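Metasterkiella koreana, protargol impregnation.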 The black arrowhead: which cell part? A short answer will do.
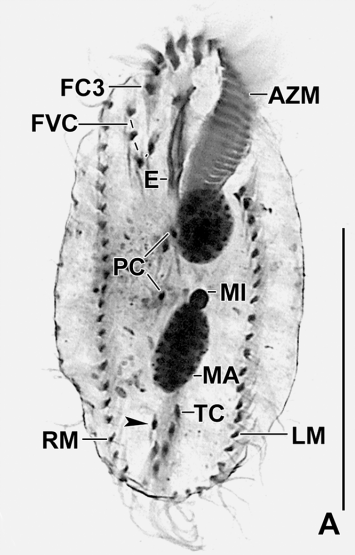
Pretransverse ventral cirri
